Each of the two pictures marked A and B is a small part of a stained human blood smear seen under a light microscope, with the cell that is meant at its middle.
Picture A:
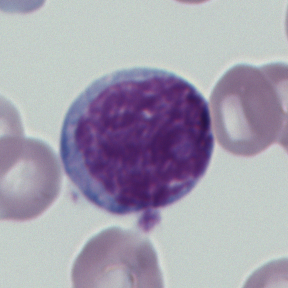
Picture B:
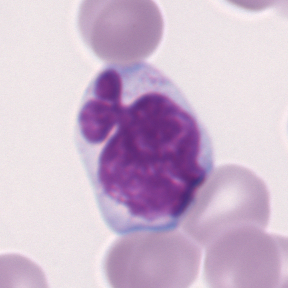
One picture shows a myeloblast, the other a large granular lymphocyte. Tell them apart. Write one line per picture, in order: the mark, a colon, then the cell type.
A: myeloblast
B: large granular lymphocyte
